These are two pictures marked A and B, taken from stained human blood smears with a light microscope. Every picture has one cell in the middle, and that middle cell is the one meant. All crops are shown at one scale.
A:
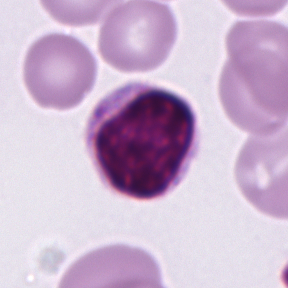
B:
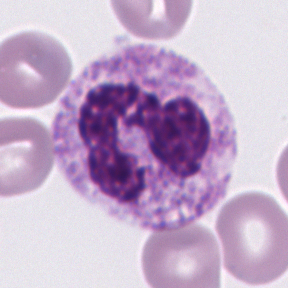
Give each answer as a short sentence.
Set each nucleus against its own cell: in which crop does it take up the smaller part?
It is the cell in picture B that is filled less by its nucleus.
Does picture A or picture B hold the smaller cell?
Smaller is the cell in picture A, and the other is about 2.5 times as large in area.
